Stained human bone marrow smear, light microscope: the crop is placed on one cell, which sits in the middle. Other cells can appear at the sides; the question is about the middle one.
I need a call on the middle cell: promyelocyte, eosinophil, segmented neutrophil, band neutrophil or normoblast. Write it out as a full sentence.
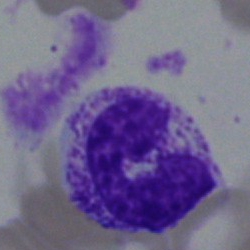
This particular crop is centered on a band neutrophil.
